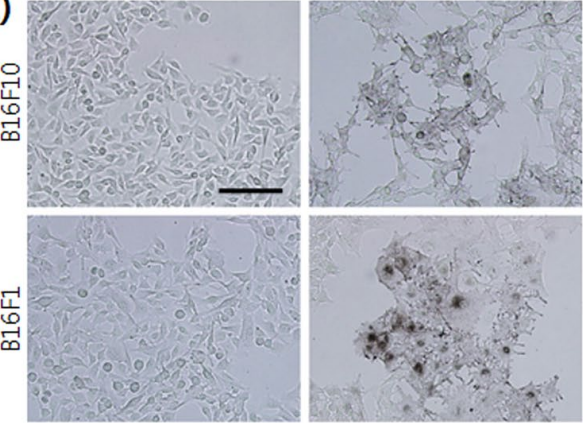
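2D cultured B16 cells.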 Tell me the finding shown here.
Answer: Dendritic morphology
